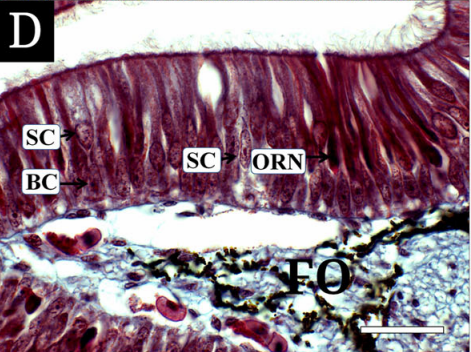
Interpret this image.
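The cells stain a dusky purple-brown, and their nuclei lie at several heights, from the base up toward the middle of the layer. Long, slender cell bodies stretch toward the apical surface, which faces a clear lumen above. Rounded basal cells lie near the base. Below, separated by a pale cleft, is the loose, pale bluish tissue of the fila olfactoria, scattered with dark granular deposits and a few reddish blood cells.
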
